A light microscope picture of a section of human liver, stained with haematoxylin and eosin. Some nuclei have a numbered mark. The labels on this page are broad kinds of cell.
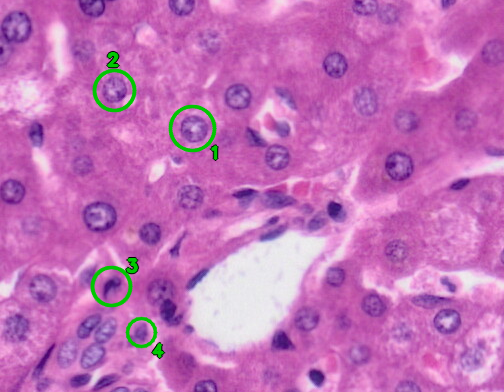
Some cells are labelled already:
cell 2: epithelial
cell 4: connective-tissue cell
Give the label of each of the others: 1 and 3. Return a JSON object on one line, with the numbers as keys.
{"1": "epithelial", "3": "connective-tissue cell"}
